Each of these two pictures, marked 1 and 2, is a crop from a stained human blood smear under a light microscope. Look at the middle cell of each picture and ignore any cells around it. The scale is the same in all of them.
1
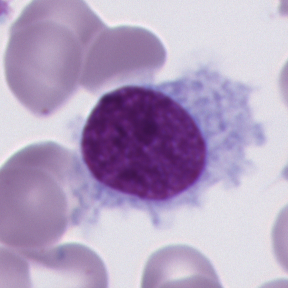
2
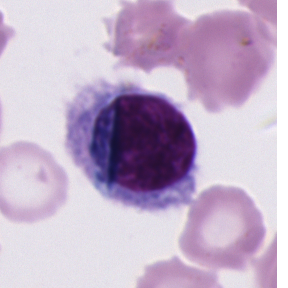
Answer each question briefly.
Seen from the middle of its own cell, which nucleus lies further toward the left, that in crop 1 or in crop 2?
1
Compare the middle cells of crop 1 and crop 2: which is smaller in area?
2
